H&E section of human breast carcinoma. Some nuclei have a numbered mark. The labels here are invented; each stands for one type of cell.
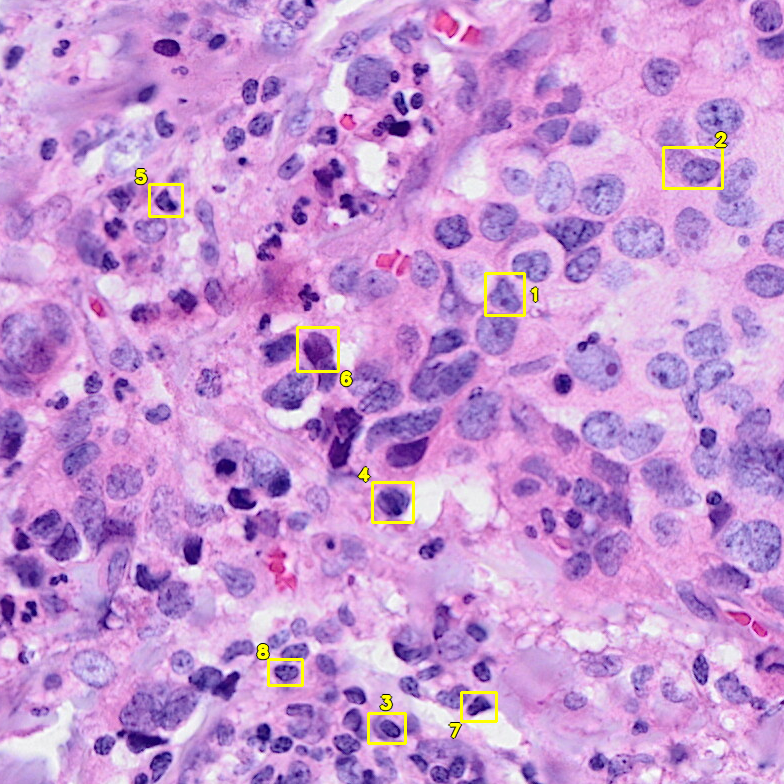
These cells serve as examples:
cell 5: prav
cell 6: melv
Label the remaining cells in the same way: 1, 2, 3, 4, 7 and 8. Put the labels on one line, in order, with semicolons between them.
melv; melv; prav; melv; prav; prav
